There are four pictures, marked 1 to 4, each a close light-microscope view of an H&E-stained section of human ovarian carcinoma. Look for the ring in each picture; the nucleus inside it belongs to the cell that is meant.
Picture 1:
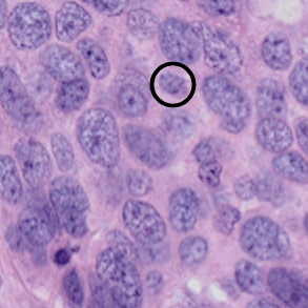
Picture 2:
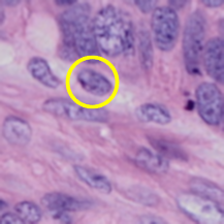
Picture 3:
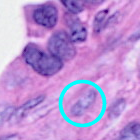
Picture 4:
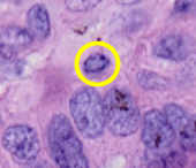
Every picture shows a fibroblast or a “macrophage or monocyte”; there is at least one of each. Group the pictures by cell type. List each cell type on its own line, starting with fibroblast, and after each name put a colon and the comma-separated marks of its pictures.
fibroblast: 3
macrophage or monocyte: 1, 2, 4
